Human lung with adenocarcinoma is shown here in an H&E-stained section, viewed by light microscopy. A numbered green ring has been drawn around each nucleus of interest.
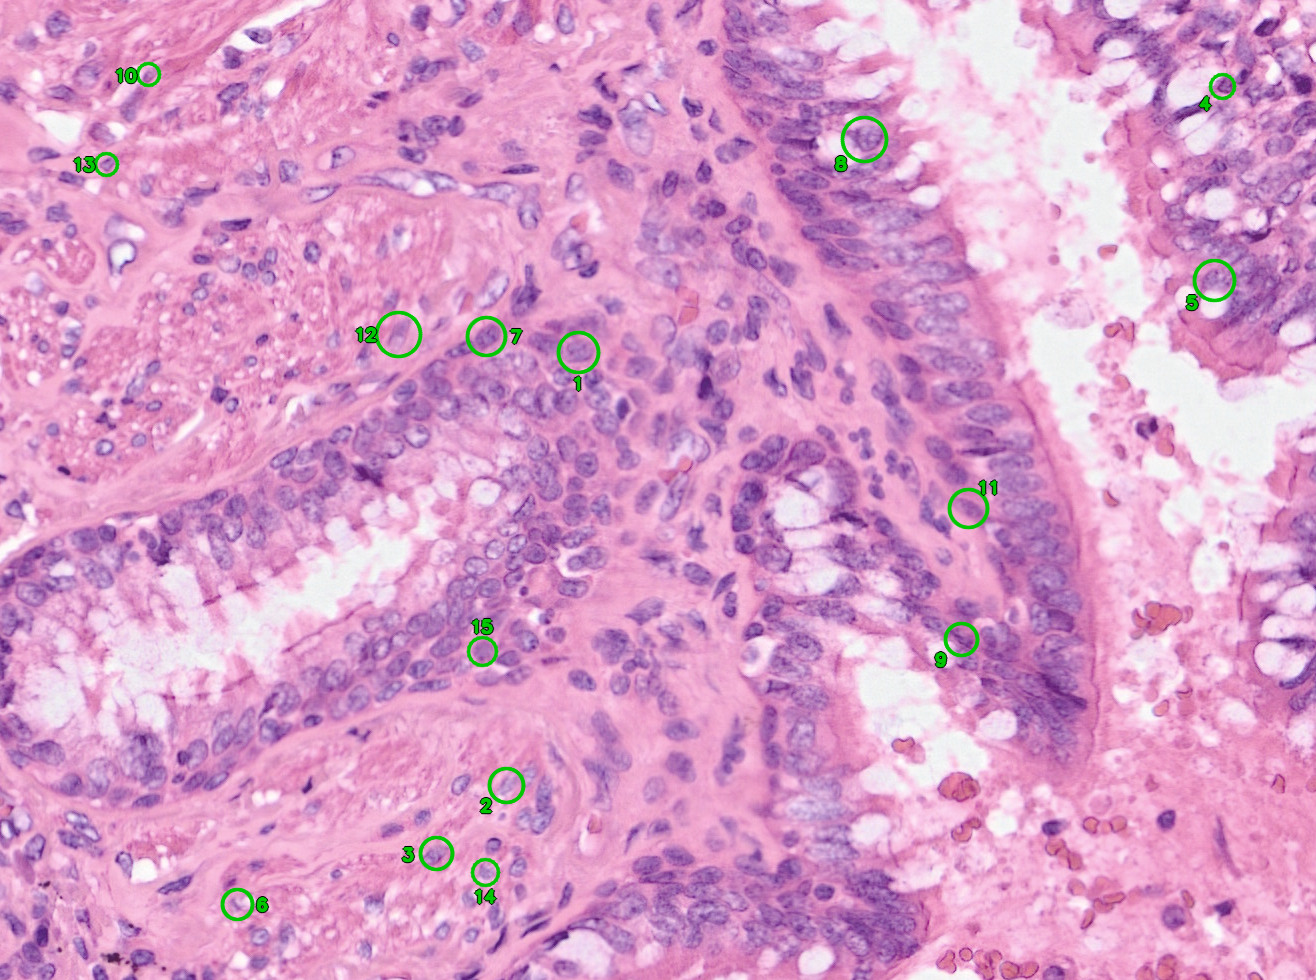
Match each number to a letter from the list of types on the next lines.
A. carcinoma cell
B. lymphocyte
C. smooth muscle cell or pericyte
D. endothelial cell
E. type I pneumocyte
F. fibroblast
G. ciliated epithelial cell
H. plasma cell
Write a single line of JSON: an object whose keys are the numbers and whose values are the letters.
{"1": "G", "2": "C", "3": "C", "4": "G", "5": "G", "6": "C", "7": "G", "8": "G", "9": "G", "10": "C", "11": "G", "12": "C", "13": "C", "14": "C", "15": "G"}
